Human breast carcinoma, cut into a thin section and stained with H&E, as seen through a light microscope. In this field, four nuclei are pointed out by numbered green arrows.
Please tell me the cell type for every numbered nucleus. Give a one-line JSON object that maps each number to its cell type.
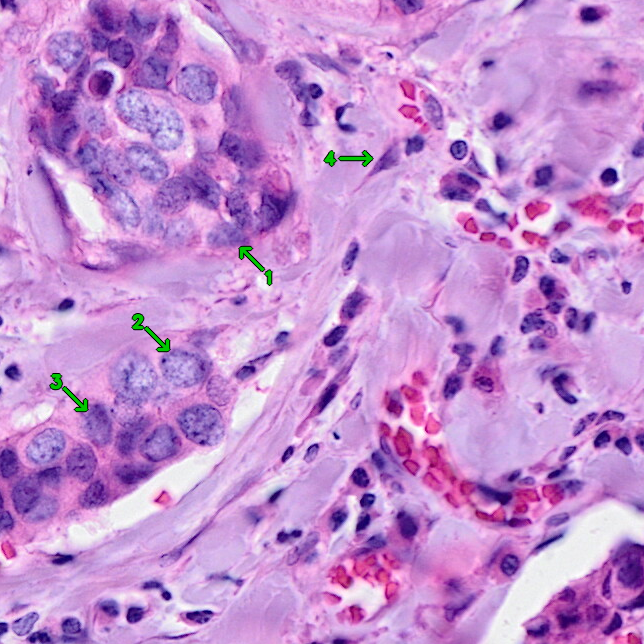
{"1": "carcinoma cell", "2": "carcinoma cell", "3": "carcinoma cell", "4": "fibroblast"}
